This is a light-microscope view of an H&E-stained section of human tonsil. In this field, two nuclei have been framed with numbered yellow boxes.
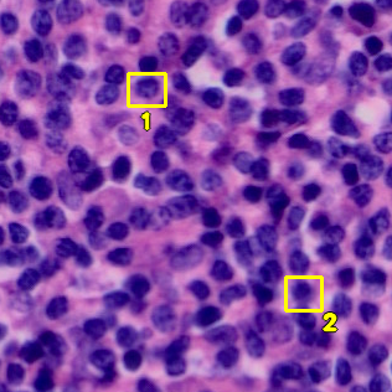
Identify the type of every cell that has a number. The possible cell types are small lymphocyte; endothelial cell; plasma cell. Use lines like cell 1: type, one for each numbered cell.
cell 1: plasma cell
cell 2: small lymphocyte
